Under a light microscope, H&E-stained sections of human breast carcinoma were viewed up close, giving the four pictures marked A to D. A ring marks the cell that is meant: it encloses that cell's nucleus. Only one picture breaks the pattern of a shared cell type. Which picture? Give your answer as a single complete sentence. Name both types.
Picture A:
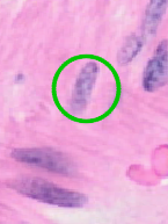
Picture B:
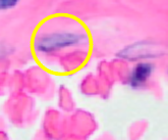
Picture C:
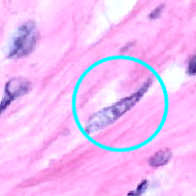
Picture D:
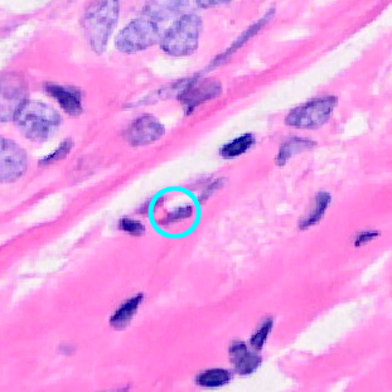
Picture C differs, because its cell is a fibroblast and the rest are endothelial cells.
